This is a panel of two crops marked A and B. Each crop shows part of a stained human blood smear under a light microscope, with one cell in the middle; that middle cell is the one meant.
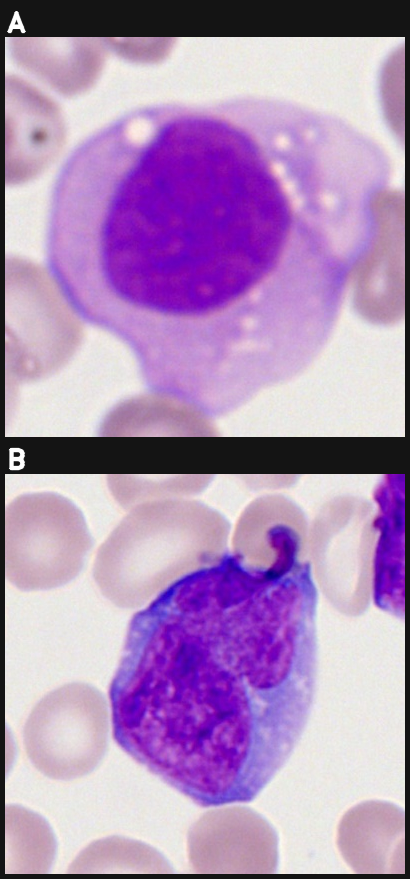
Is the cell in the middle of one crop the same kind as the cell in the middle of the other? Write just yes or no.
no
